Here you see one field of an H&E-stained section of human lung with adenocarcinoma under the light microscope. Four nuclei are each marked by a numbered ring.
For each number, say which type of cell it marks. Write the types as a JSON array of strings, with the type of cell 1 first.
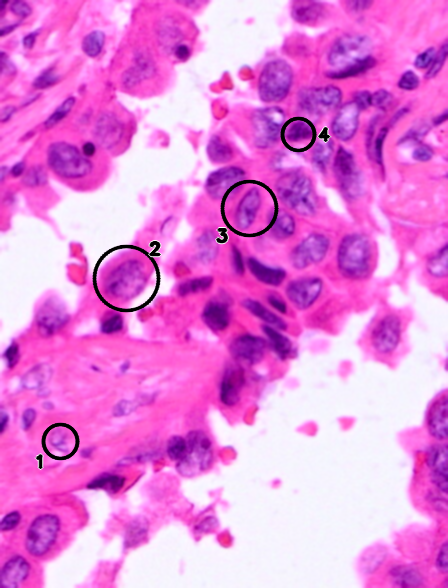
["fibroblast", "carcinoma cell", "carcinoma cell", "carcinoma cell"]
